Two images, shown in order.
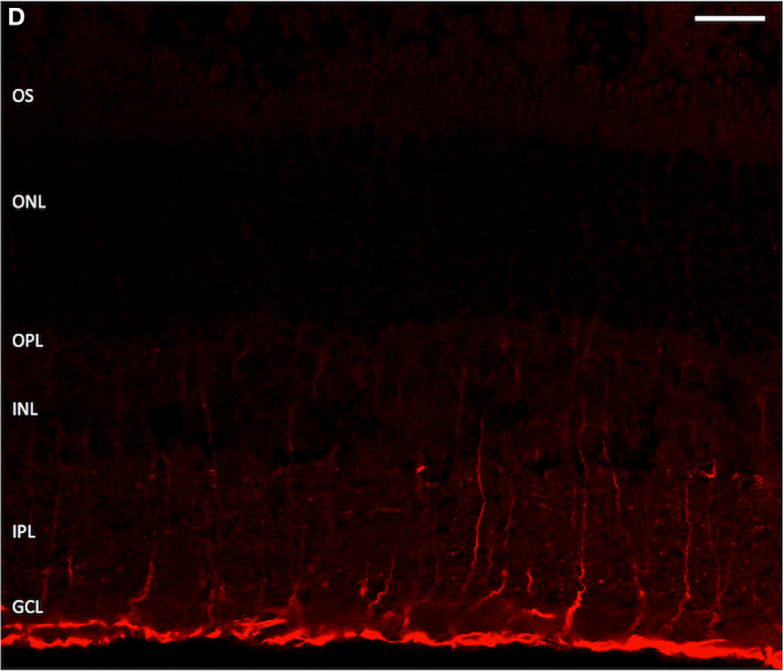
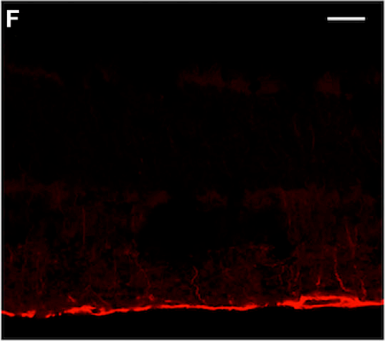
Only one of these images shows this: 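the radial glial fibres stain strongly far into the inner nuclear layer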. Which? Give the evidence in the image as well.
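Second image: red staining is mostly confined to a thin band at the inner border, with faint short fibres. First image: many bright red radial fibres cross the inner plexiform layer and reach into the inner nuclear layer. On this evidence: the first image.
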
